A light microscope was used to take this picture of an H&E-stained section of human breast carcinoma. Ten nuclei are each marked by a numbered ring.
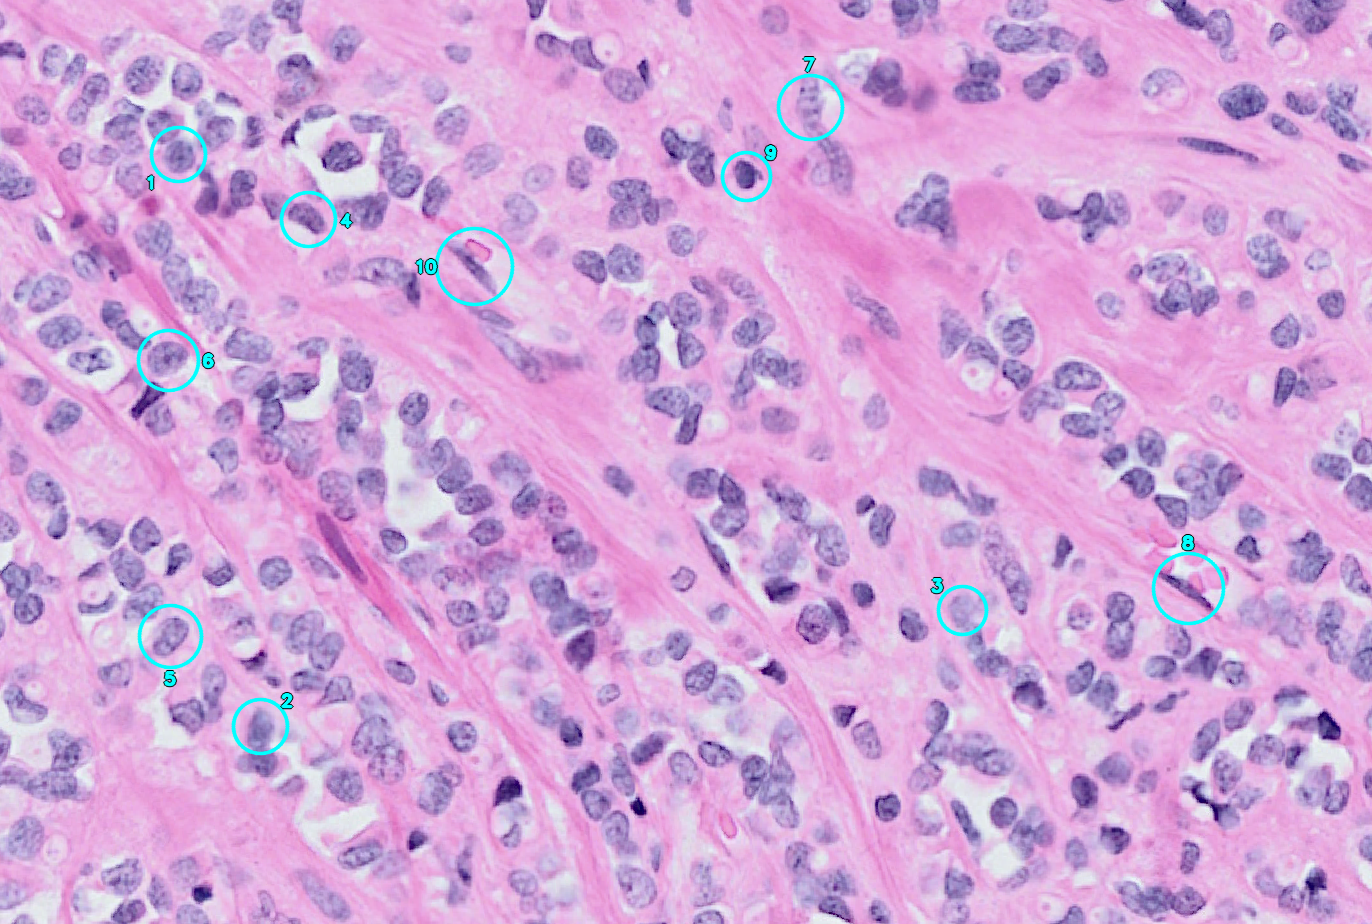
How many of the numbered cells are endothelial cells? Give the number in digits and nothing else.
3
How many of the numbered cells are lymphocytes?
1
